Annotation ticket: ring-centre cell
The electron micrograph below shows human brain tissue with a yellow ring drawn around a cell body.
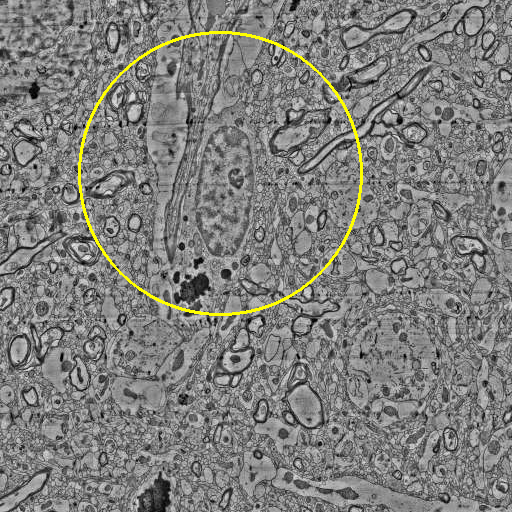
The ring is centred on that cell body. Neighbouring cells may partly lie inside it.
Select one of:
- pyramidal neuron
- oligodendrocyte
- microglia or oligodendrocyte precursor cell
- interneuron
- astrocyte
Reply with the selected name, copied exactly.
oligodendrocyte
